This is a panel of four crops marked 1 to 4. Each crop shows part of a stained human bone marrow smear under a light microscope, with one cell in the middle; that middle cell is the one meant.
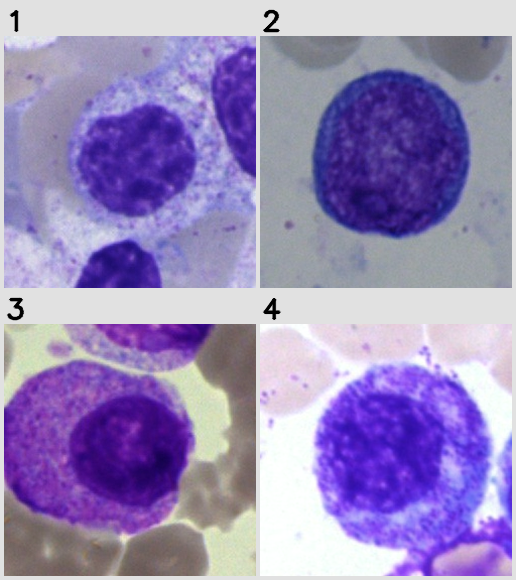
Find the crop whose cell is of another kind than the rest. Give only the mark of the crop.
2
